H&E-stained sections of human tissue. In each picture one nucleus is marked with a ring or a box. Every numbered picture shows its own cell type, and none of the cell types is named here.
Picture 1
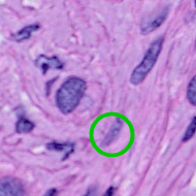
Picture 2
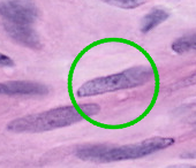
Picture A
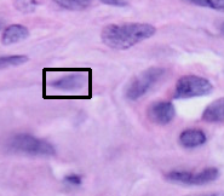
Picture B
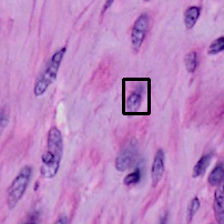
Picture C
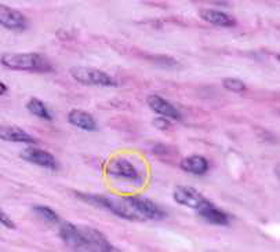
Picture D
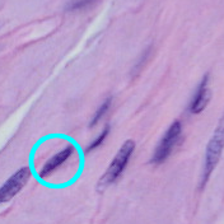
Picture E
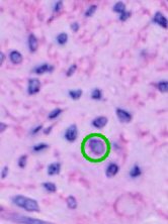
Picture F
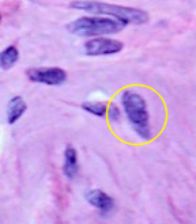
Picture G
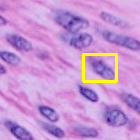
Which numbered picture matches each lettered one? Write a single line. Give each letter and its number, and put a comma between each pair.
A 1, B 2, C 2, D 1, E 2, F 1, G 2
